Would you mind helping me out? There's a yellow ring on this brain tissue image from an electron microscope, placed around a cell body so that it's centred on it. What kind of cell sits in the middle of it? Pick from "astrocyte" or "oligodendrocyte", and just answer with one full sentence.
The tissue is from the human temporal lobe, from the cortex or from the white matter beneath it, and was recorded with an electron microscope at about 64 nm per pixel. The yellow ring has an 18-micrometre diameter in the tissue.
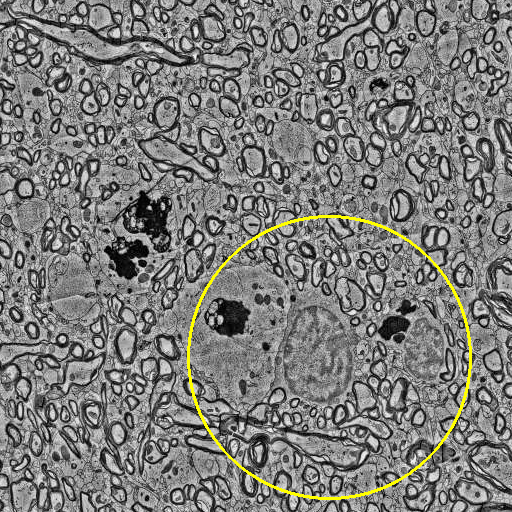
What sits in the middle of that yellow ring is an oligodendrocyte, from your choices.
